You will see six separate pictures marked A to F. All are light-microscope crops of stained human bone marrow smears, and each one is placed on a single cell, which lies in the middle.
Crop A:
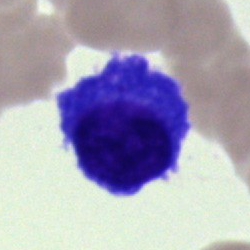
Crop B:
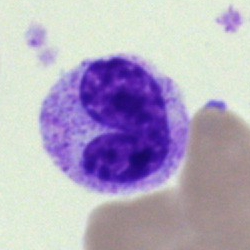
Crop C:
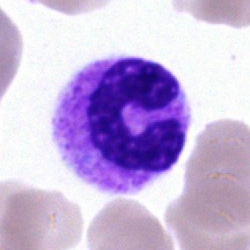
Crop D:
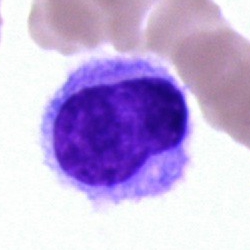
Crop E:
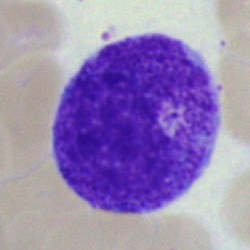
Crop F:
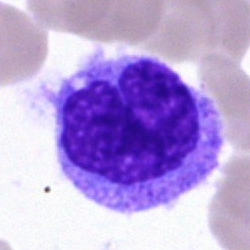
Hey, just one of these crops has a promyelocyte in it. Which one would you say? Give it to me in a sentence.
Crop E shows a promyelocyte, and no other crop does.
